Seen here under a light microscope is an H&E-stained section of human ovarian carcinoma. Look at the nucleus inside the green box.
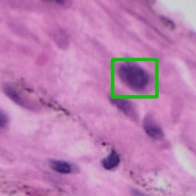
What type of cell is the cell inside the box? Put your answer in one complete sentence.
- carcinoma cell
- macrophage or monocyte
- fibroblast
Assigned to a cell type, the cell inside the box is a fibroblast.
